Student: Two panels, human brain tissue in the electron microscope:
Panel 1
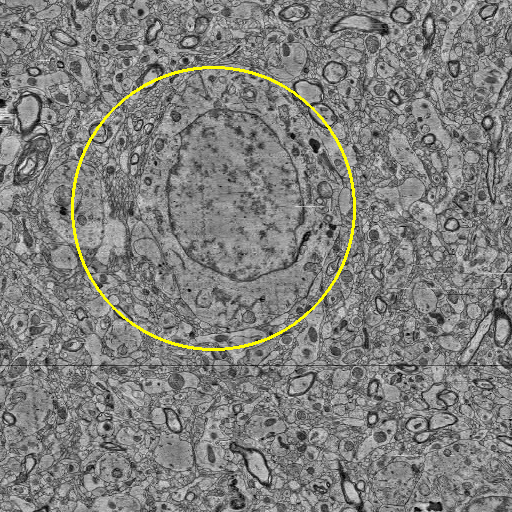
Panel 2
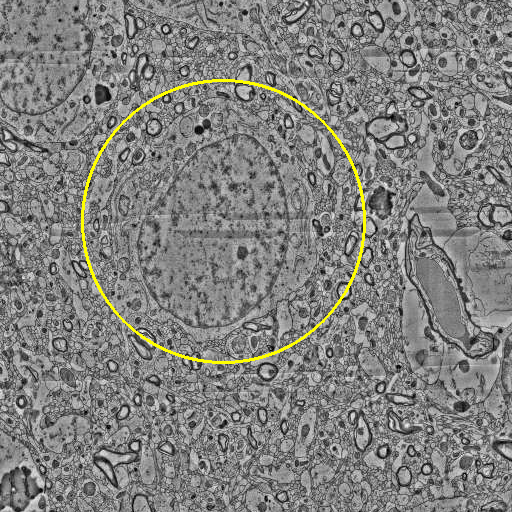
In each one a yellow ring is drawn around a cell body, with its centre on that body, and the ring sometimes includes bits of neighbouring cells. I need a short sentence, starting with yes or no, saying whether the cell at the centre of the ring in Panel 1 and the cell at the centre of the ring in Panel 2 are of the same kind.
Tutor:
No, they are two kinds of cell.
